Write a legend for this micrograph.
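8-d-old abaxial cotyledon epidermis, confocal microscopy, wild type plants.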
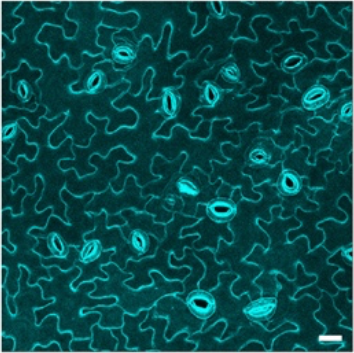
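Scattered between them lie stomata, each a small oval pair of guard cells around a central slit, spaced apart rather than touching one another. Cell interiors are dark, with only the walls brightly outlined.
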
